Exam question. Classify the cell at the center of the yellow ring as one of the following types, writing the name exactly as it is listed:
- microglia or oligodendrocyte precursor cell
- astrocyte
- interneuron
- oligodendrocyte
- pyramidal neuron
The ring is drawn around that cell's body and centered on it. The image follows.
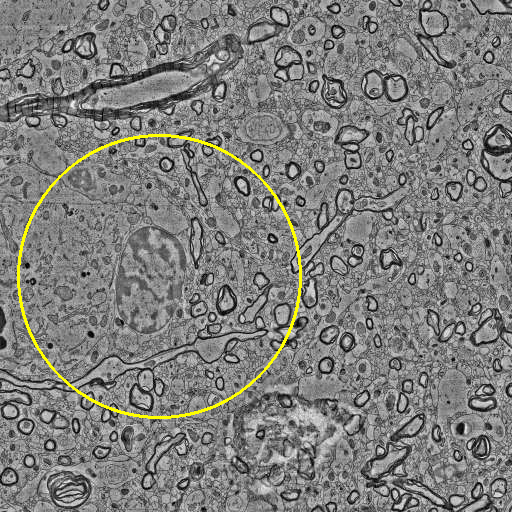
microglia or oligodendrocyte precursor cell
